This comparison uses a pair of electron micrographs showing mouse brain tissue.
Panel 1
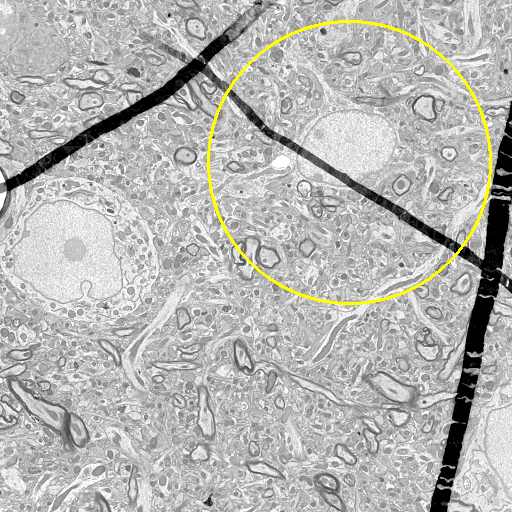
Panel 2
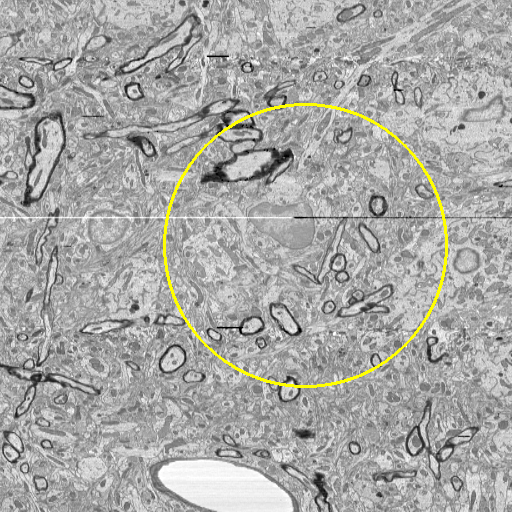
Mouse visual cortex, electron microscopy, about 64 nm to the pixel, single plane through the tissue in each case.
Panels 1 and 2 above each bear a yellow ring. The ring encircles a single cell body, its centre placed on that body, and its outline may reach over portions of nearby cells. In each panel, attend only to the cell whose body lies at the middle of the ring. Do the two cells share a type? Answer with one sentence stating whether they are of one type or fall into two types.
In Panel 1 and Panel 2, the cells at the centres of the rings fall into two types.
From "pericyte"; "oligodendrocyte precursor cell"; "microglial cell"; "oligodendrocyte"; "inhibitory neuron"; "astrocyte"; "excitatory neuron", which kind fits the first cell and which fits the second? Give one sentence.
The cell marked in the first picture is an astrocyte, and the one marked in the second is a microglial cell.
